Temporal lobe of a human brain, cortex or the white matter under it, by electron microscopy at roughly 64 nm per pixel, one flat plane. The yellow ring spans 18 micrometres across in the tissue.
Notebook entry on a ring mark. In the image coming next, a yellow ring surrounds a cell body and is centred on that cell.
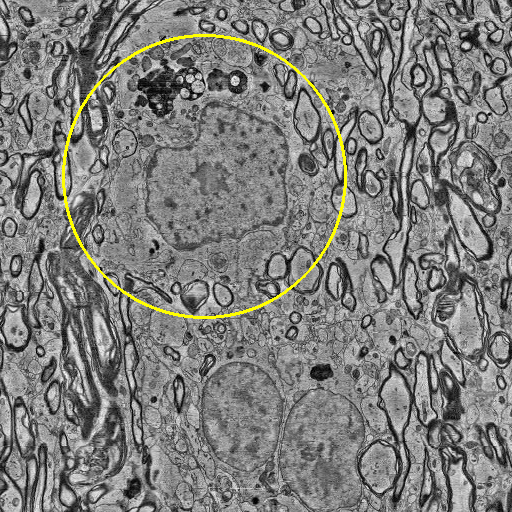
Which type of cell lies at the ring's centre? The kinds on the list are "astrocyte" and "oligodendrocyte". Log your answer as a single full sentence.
Centred in the yellow ring is an astrocyte, the cell recorded for this image.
